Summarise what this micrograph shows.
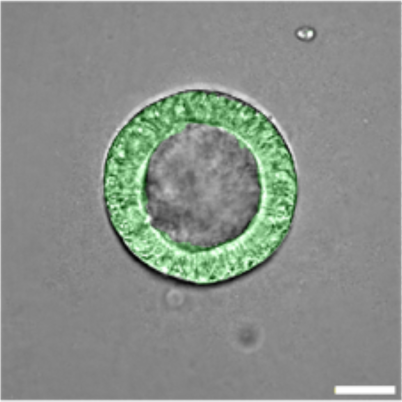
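A single ring of tall, narrow cells stands side by side, each elongated along the radius, so the wall looks striated like a palisade. Around the cyst the background is plain, with only a few small round bodies lying free nearby.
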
